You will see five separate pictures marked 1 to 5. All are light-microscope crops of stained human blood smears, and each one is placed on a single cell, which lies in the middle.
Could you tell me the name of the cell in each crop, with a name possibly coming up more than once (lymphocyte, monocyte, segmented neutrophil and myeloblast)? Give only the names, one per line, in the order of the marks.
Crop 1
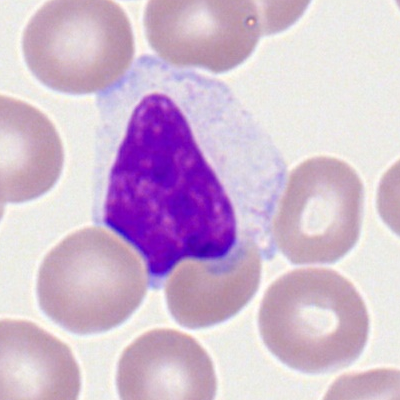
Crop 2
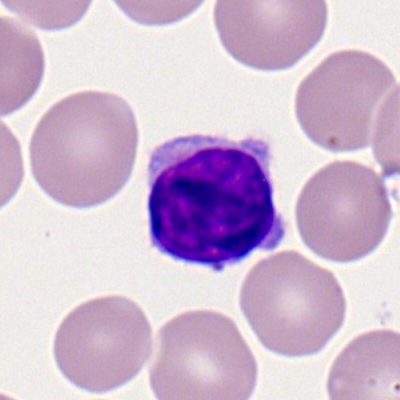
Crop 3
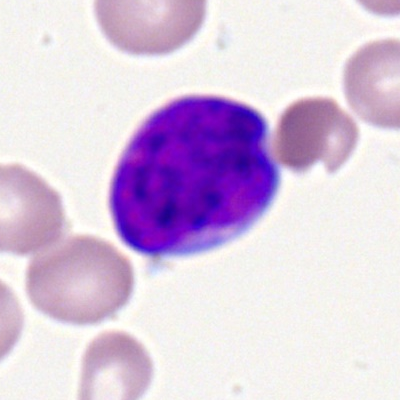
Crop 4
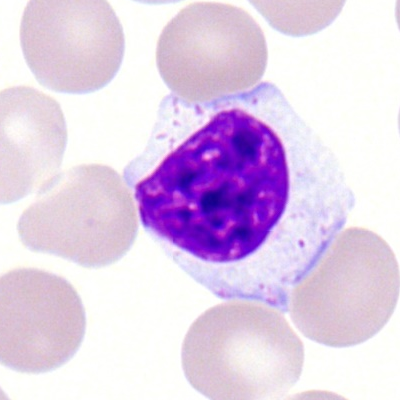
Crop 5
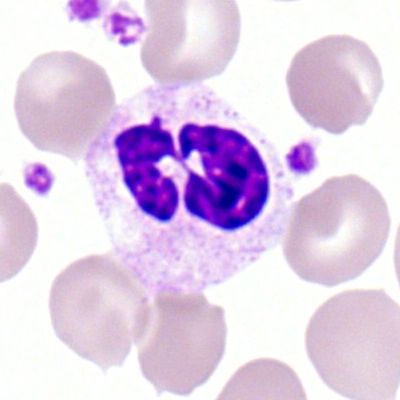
lymphocyte
lymphocyte
myeloblast
lymphocyte
segmented neutrophil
